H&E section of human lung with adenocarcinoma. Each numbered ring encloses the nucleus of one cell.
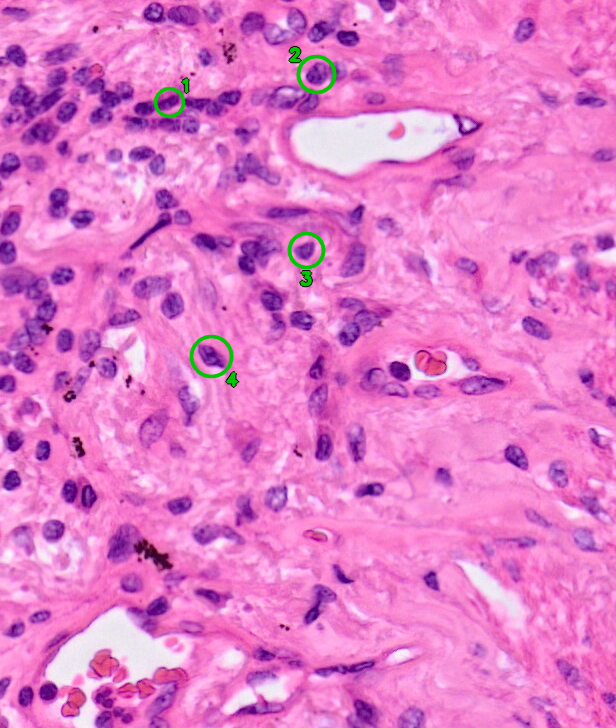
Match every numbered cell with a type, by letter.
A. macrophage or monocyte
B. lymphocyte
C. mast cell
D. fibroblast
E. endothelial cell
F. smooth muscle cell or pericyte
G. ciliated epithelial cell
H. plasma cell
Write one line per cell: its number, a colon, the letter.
1: H
2: B
3: B
4: B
